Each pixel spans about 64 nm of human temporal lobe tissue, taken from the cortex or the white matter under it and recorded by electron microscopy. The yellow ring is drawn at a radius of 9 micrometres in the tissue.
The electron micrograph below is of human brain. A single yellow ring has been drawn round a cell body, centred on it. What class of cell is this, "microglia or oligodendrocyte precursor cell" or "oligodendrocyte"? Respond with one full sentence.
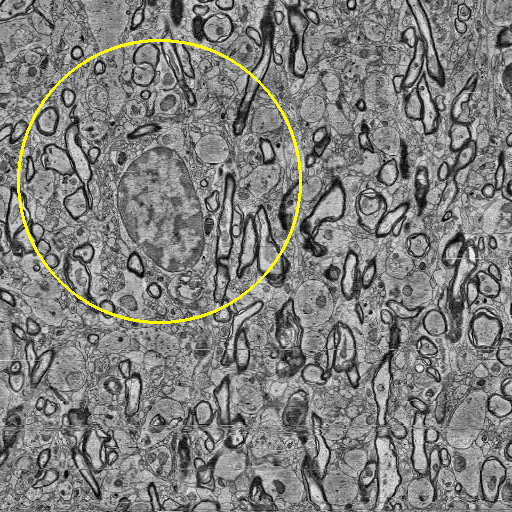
In the micrograph, the cell centred inside the yellow ring is a microglial cell or oligodendrocyte precursor cell.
